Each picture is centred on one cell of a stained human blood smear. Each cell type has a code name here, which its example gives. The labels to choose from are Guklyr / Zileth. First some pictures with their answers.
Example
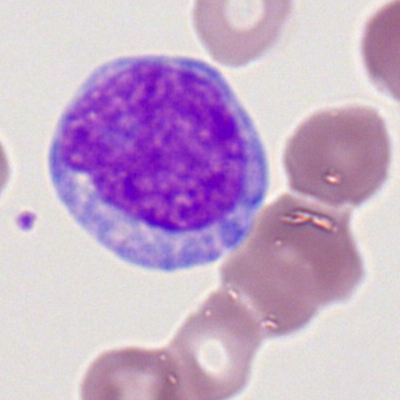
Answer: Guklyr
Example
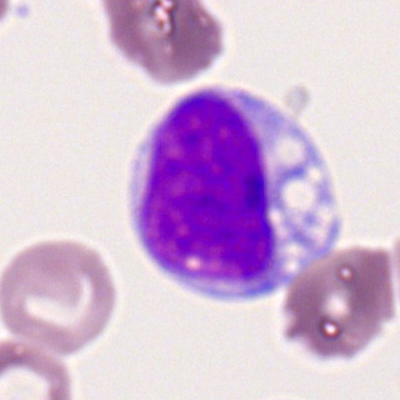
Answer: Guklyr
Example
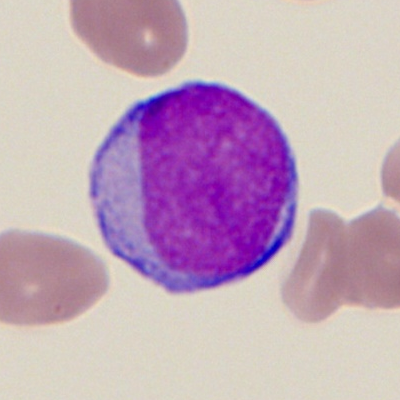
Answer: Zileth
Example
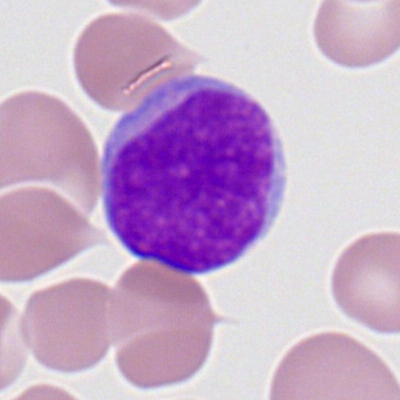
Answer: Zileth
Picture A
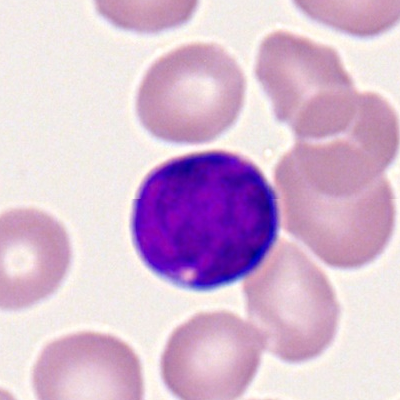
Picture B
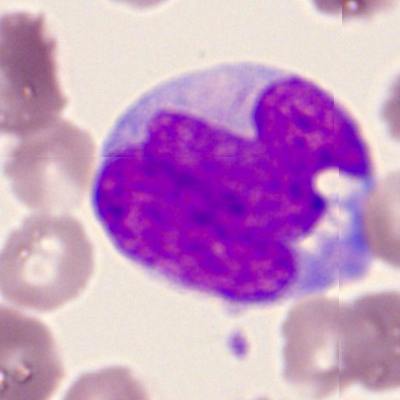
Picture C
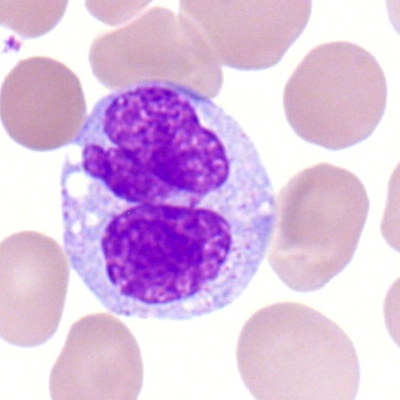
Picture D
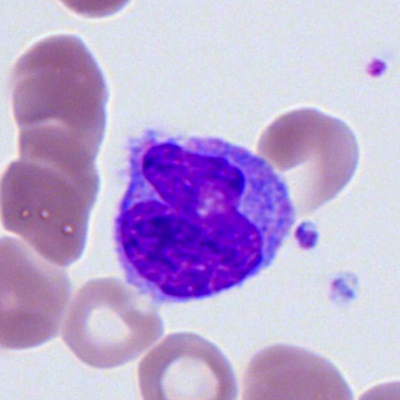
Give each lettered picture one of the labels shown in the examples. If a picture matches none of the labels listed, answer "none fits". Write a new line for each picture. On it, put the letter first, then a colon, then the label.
A: Zileth
B: Guklyr
C: Guklyr
D: Guklyr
